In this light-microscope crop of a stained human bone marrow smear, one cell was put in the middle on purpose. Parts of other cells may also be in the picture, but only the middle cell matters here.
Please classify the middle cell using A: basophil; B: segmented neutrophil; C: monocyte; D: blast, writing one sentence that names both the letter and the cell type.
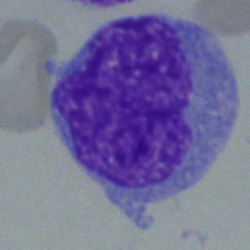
The best answer is option D, since the cell in the middle is a blast.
